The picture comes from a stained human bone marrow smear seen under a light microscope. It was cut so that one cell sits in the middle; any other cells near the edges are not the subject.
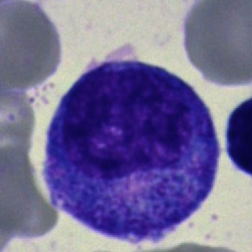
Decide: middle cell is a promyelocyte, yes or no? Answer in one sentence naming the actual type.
Yes, the cell in the exact middle is a promyelocyte.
